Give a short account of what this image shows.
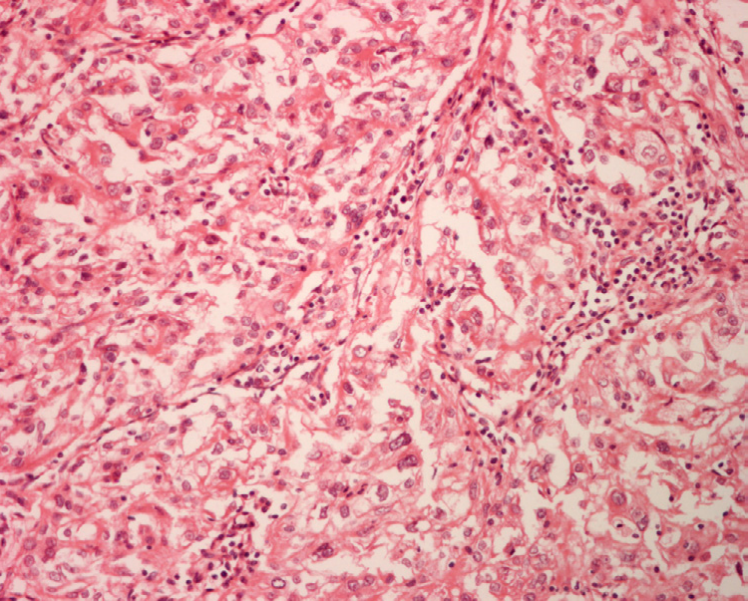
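This is a carcinoma made of large polygonal tumor cells arranged in nests and cords. The tumor cells have pale pink, finely granular and wispy cytoplasm, with many clear spaces between and within the cell groups. Their nuclei are round to oval, larger than those of the surrounding small cells, and many show a distinct dark nucleolus. Thin strands of delicate stroma run between the cell groups. Small cells with dark round nuclei, most likely lymphocytes, gather along these strands, most densely toward the right of the field.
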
